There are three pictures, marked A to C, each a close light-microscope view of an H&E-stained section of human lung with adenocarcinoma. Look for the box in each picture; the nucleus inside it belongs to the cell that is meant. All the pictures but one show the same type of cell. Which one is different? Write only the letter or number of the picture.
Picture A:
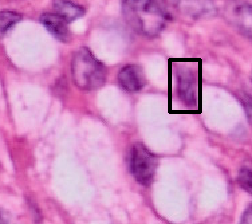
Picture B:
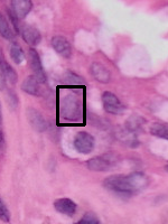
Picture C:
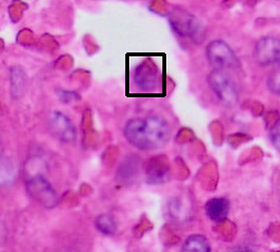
C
